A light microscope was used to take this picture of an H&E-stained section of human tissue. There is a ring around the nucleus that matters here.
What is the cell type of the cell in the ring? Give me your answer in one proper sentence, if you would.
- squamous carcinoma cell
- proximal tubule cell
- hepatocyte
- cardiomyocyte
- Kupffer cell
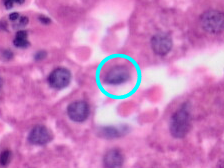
Speaking plainly, the cell in the ring is nothing other than a Kupffer cell.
